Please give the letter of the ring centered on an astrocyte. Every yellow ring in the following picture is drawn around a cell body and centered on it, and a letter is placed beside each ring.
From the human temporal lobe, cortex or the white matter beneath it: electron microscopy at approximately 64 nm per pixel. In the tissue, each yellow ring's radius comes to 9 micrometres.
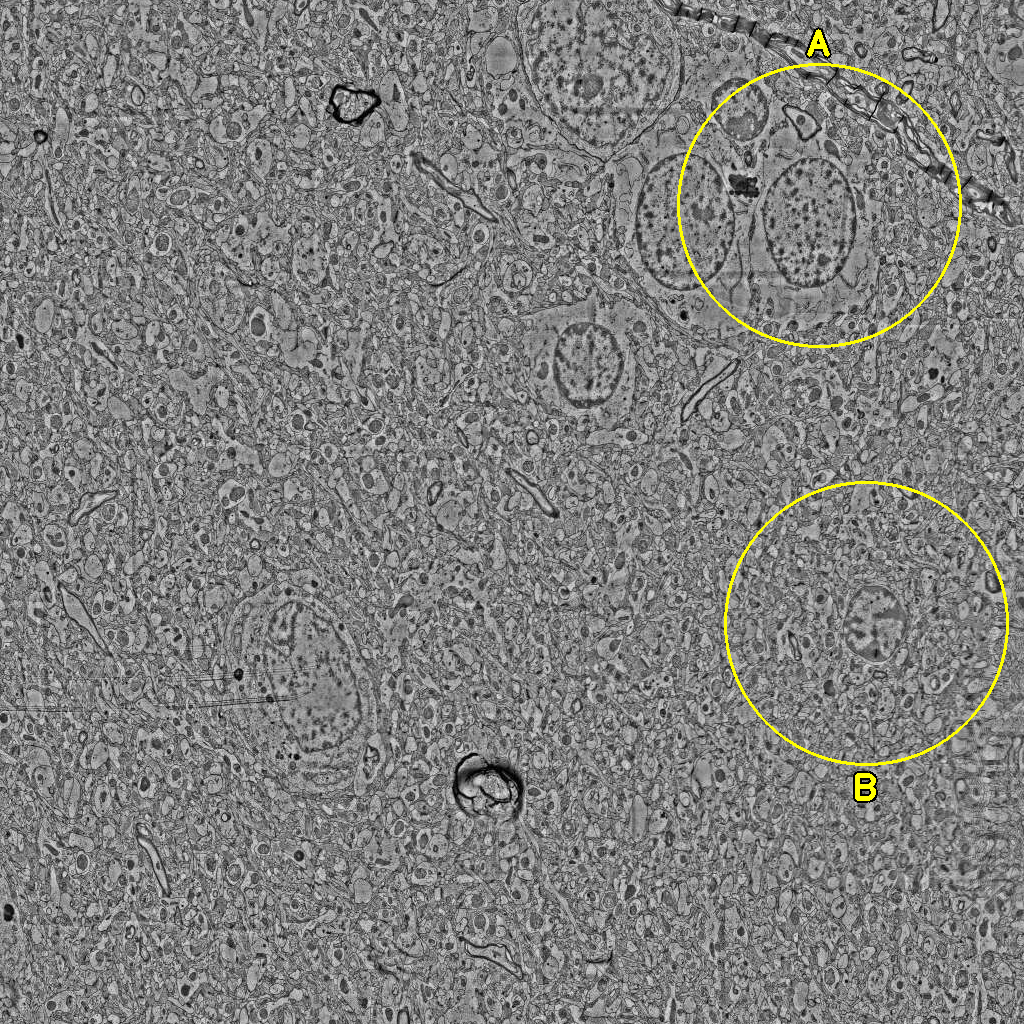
A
